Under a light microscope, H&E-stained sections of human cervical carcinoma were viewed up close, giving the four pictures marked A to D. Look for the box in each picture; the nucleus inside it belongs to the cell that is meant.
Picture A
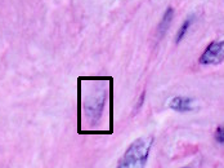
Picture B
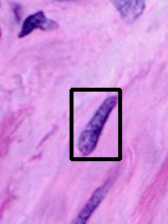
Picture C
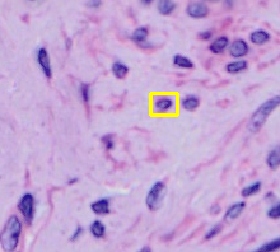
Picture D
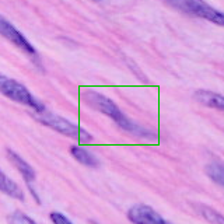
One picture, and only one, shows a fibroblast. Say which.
B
